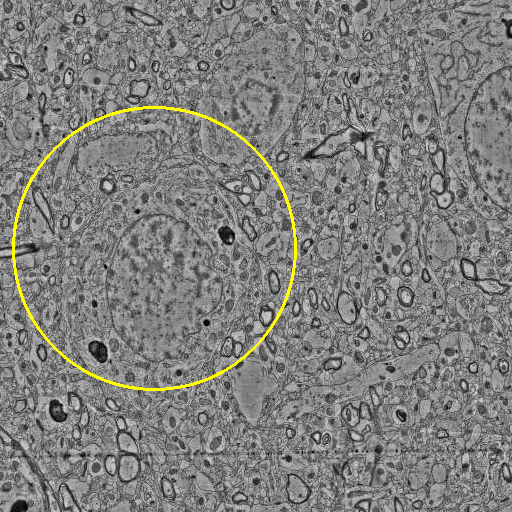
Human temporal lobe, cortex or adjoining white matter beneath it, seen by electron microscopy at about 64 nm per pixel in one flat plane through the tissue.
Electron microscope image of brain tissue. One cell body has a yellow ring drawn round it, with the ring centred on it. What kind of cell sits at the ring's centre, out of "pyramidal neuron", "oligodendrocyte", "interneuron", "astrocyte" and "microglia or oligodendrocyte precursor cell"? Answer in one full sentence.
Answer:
It is an interneuron whose cell body sits at the centre of the yellow ring.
